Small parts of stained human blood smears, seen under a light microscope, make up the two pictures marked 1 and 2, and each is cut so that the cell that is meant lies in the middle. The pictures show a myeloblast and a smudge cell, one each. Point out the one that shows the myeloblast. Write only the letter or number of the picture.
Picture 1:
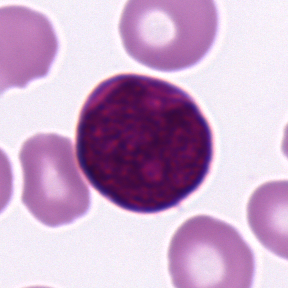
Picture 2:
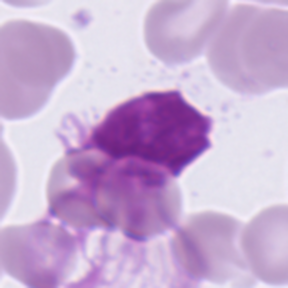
1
